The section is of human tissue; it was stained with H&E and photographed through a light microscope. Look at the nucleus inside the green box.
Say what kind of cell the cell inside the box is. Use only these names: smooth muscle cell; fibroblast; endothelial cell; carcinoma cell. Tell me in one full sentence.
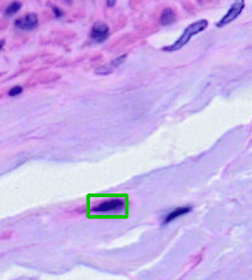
Labelled by cell type, the cell inside the box is an endothelial cell.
